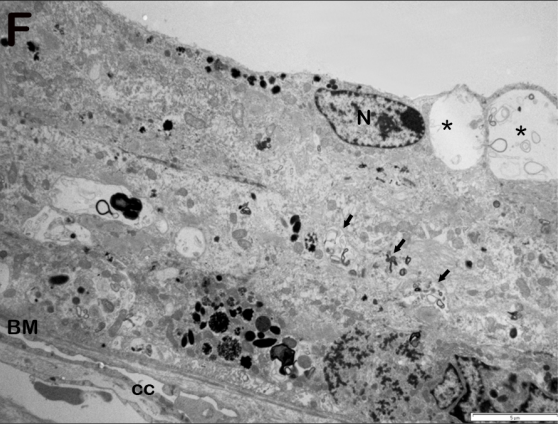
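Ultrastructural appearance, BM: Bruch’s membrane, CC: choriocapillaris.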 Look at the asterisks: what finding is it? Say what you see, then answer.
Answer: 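Each asterisk sits in a large round pale space within the cytoplasm. The pale spaces contain only sparse membranous fragments.
Conclusion: cytoplasmic vacuolization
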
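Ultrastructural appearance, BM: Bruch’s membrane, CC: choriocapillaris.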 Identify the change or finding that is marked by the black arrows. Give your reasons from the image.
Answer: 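The arrows point to small clusters of curled membranes and dense fragments inside the cytoplasm. So: intracellular accumulation of organelle debris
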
